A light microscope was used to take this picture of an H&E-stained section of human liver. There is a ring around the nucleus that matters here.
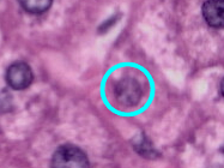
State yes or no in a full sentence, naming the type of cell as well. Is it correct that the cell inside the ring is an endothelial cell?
No, on this slide the cell inside the ring is a hepatocyte, not an endothelial cell.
